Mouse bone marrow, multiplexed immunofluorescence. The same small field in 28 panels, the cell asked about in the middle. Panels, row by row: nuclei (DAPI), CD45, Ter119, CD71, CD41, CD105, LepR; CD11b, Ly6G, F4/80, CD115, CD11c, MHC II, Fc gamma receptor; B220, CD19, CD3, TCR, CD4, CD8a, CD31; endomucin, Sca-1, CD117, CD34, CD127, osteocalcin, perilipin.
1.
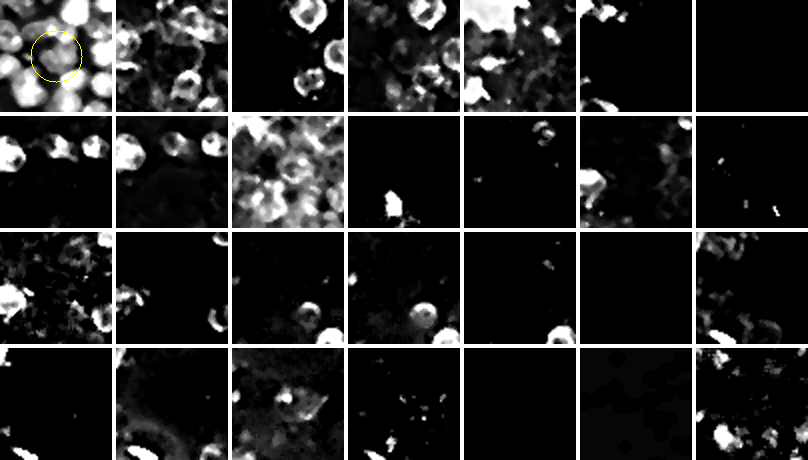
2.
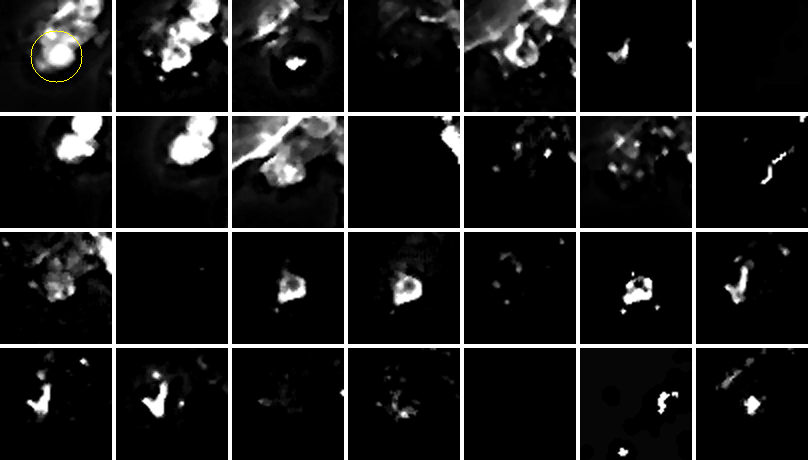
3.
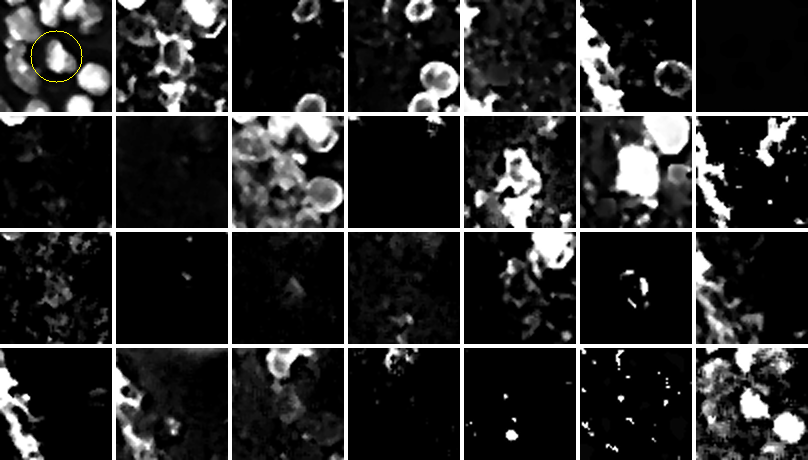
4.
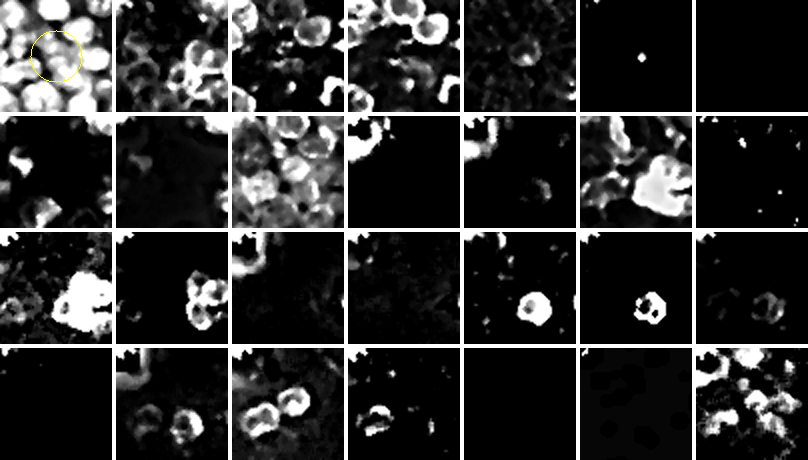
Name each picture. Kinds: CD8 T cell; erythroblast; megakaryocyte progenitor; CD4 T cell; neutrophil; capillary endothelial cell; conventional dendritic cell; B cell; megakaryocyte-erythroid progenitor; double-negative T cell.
(1) megakaryocyte-erythroid progenitor
(2) CD8 T cell
(3) conventional dendritic cell
(4) megakaryocyte progenitor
